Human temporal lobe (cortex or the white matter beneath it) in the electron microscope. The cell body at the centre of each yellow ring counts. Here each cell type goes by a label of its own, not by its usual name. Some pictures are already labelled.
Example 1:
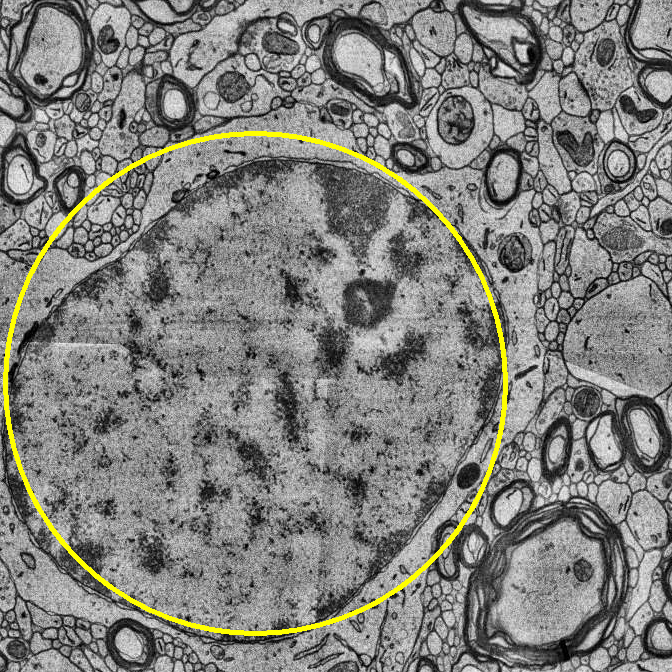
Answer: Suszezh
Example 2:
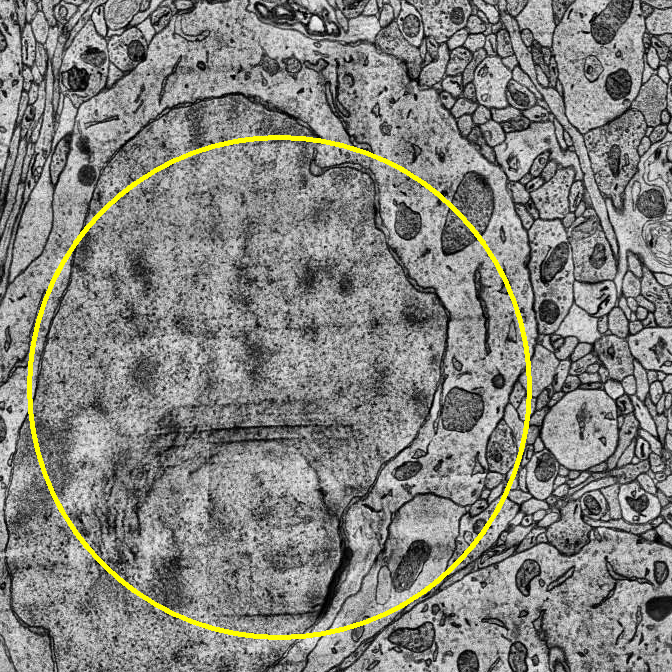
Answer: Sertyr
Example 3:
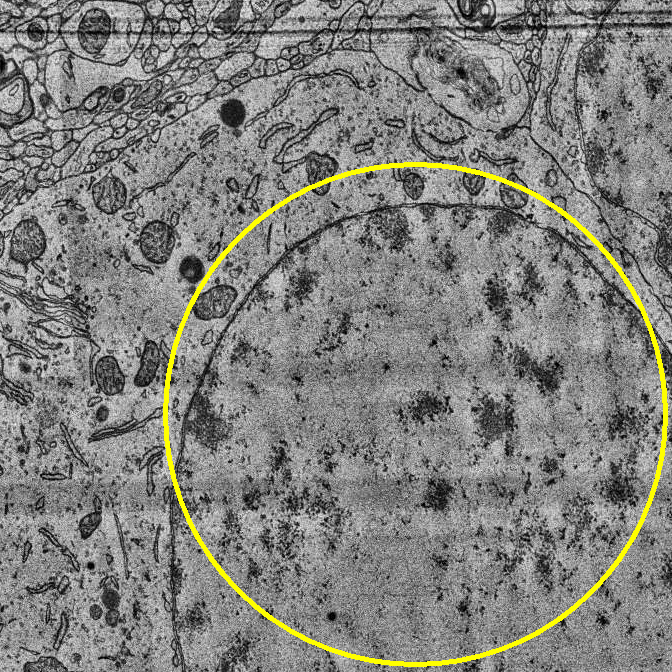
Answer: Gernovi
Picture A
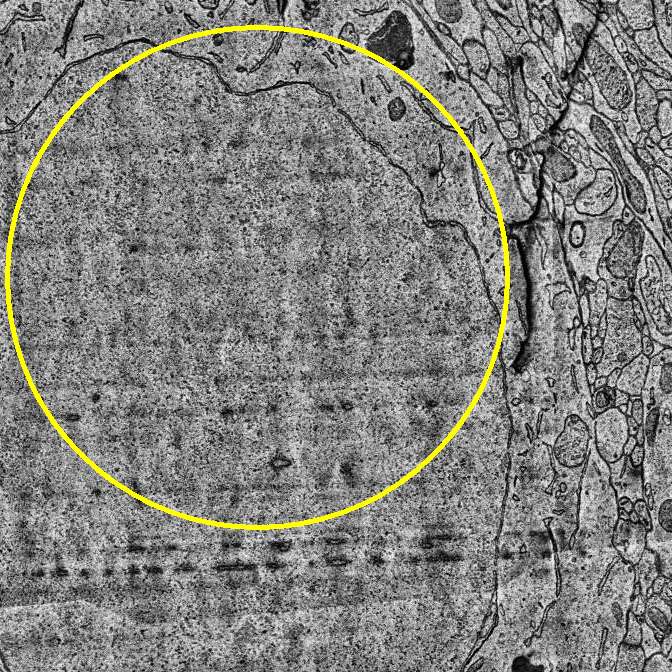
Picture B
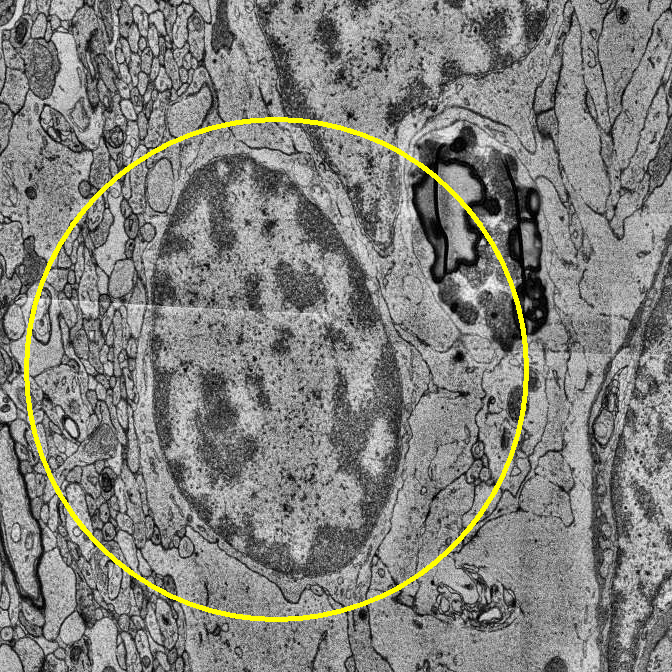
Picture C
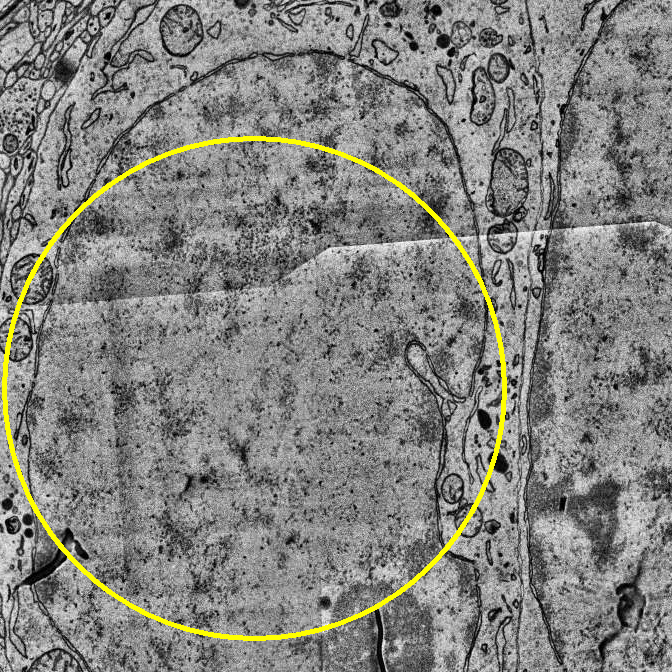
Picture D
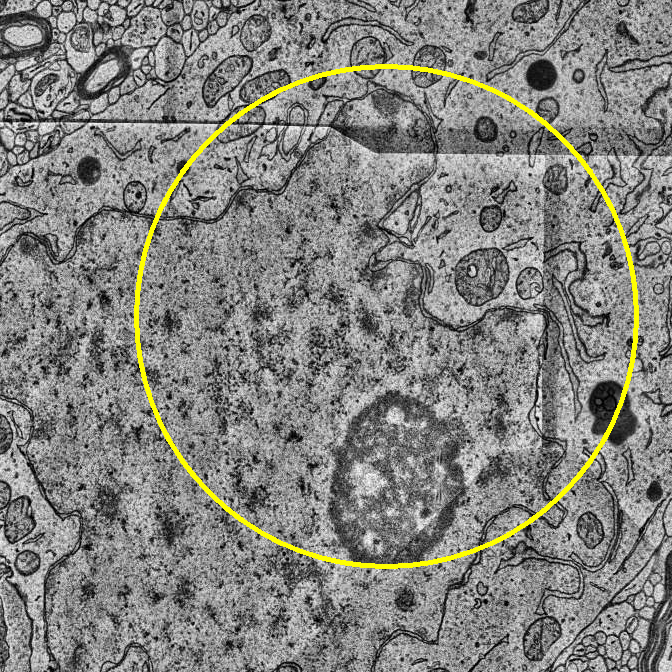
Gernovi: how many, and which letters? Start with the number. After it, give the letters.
2: A, C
